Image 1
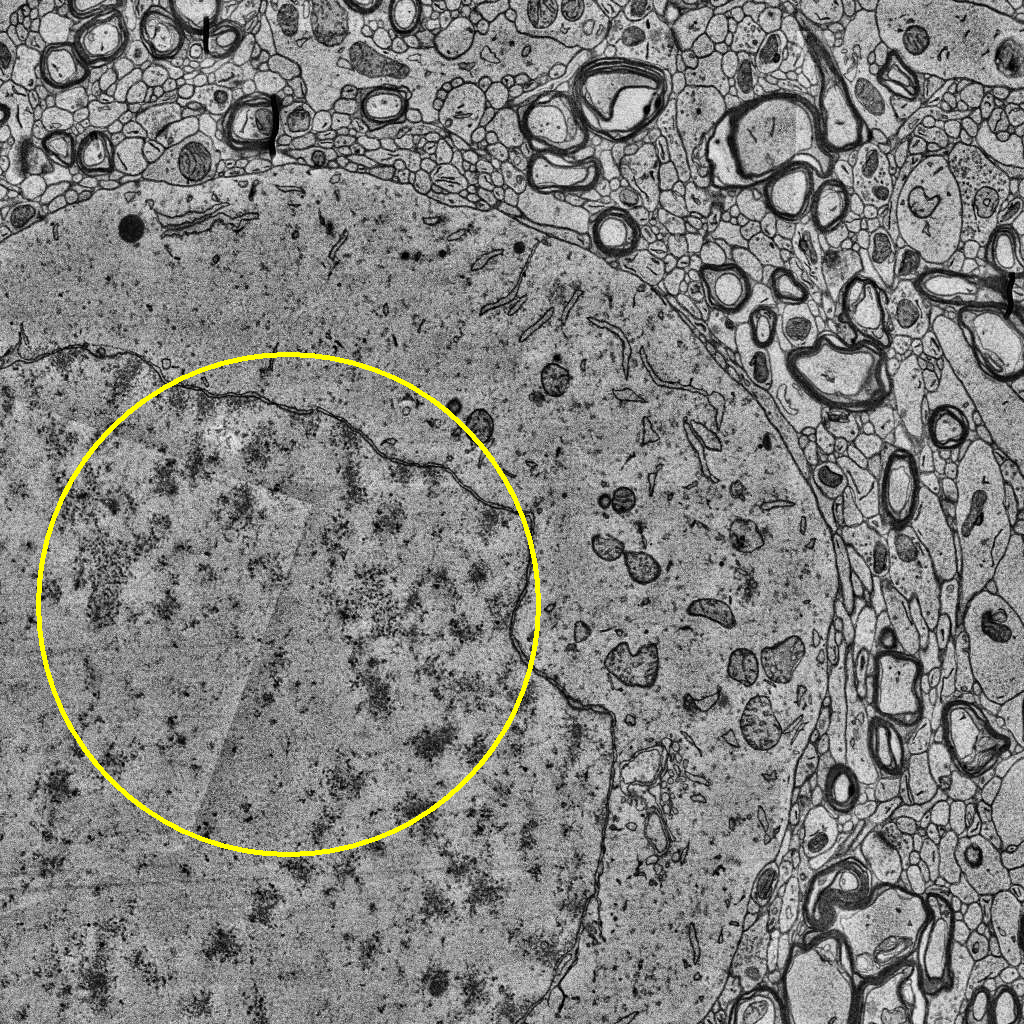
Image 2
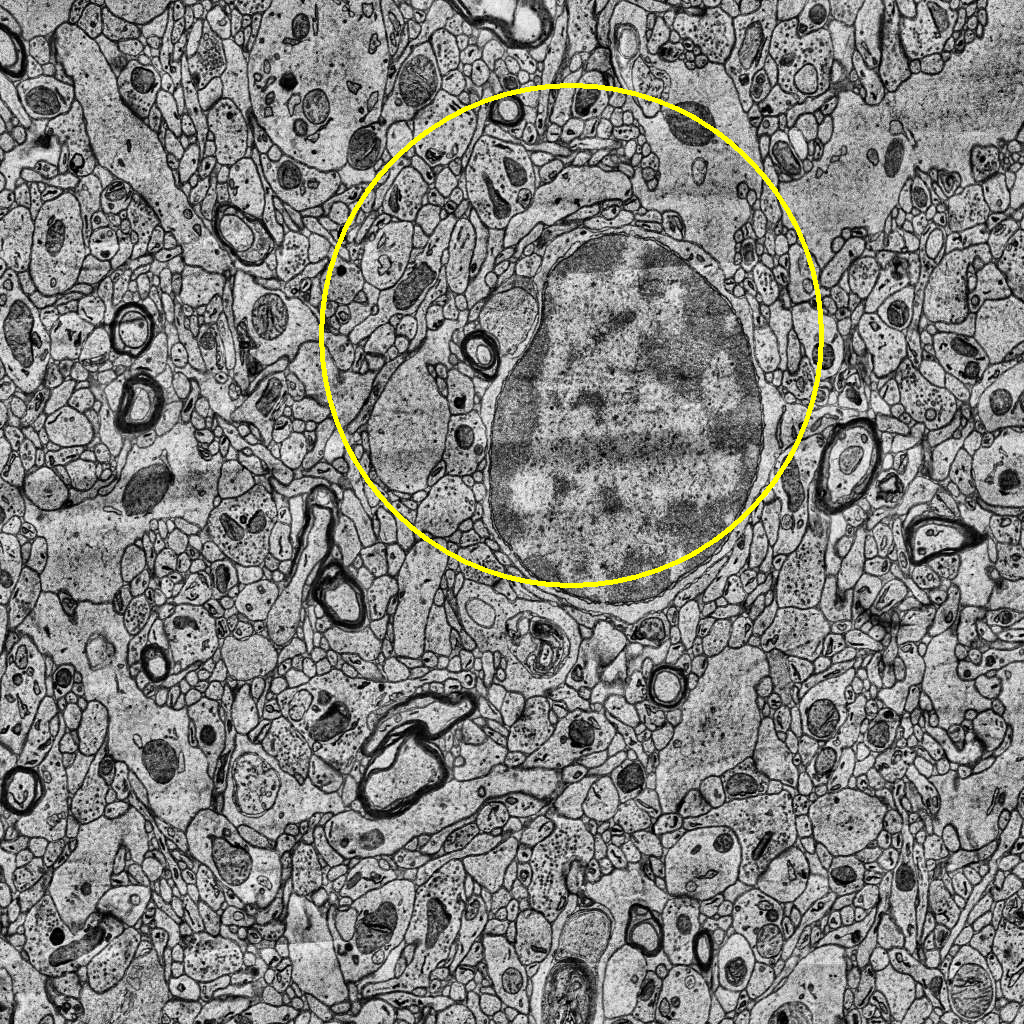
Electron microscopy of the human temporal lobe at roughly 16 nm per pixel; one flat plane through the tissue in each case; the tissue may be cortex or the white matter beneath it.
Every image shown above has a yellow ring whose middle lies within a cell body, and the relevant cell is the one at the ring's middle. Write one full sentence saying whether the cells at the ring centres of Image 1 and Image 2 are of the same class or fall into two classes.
The cell at the ring's centre in Image 1 and its counterpart in Image 2 fall into two classes.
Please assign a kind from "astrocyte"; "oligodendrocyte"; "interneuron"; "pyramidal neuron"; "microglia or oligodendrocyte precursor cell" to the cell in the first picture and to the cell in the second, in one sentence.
The first picture shows a pyramidal neuron at the ring centre and the second shows a microglial cell or oligodendrocyte precursor cell.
